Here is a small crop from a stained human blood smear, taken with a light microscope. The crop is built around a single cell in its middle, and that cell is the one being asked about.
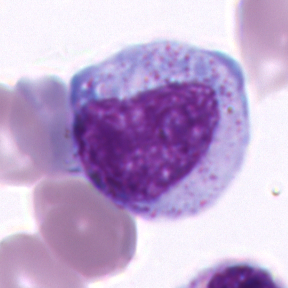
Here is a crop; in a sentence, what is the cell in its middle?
In the centre of this crop there is a promyelocyte.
